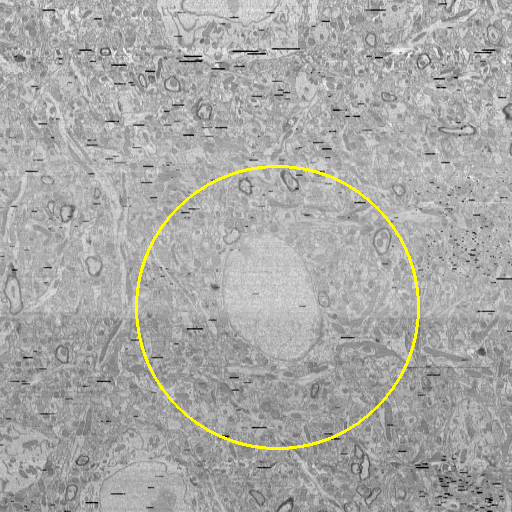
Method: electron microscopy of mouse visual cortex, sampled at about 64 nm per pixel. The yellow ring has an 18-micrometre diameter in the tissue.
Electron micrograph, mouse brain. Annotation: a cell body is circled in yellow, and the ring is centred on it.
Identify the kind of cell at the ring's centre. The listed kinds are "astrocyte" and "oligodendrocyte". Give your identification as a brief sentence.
The circled cell body is that of an astrocyte.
